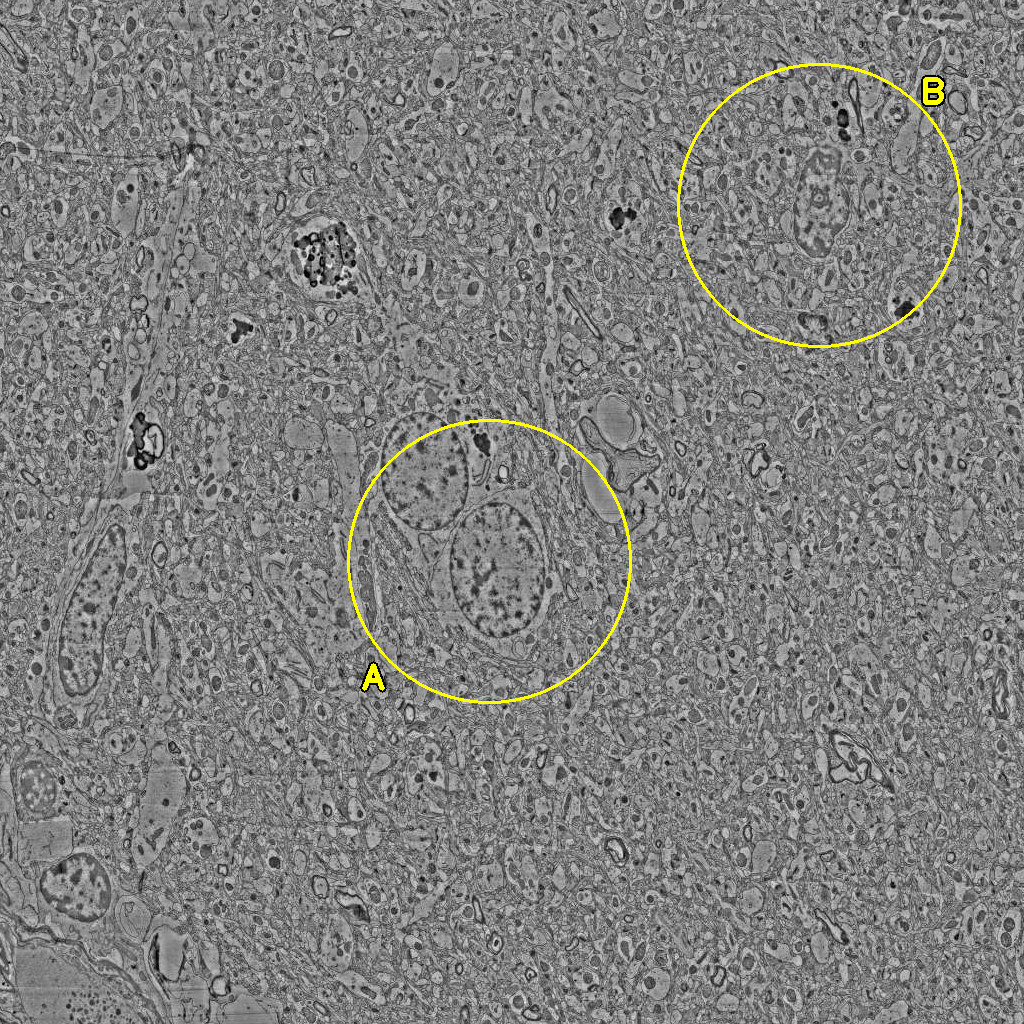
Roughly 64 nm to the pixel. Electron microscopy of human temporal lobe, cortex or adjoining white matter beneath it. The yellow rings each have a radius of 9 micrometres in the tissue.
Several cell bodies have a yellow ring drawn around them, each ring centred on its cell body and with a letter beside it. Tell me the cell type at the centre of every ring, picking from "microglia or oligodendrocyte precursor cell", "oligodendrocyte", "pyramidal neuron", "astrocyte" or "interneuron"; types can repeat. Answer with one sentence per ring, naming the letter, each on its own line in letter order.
In ring A, the central cell is an astrocyte.
In ring B, the central cell is a microglial cell or oligodendrocyte precursor cell.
